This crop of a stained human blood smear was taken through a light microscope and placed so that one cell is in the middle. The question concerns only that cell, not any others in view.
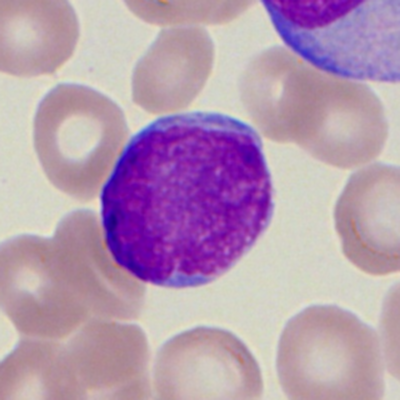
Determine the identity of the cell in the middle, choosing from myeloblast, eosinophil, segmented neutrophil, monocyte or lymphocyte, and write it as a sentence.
The cell positioned in the middle of the field is a myeloblast.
